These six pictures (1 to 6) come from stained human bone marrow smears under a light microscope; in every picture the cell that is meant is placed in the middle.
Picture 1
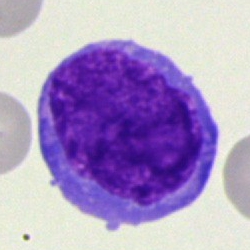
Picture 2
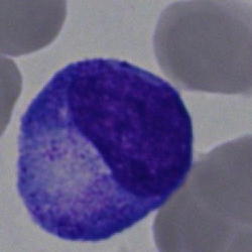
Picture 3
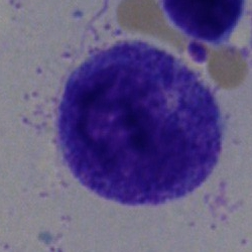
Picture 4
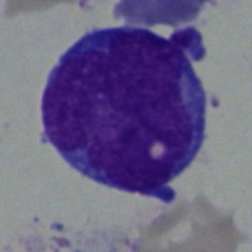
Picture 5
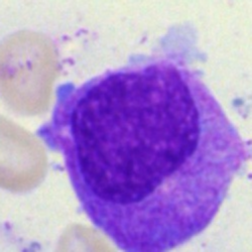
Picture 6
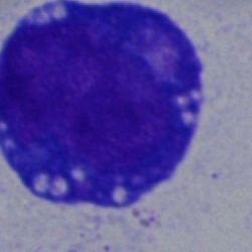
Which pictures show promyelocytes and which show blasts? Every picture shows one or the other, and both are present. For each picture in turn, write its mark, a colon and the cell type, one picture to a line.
1: blast
2: promyelocyte
3: promyelocyte
4: blast
5: promyelocyte
6: blast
